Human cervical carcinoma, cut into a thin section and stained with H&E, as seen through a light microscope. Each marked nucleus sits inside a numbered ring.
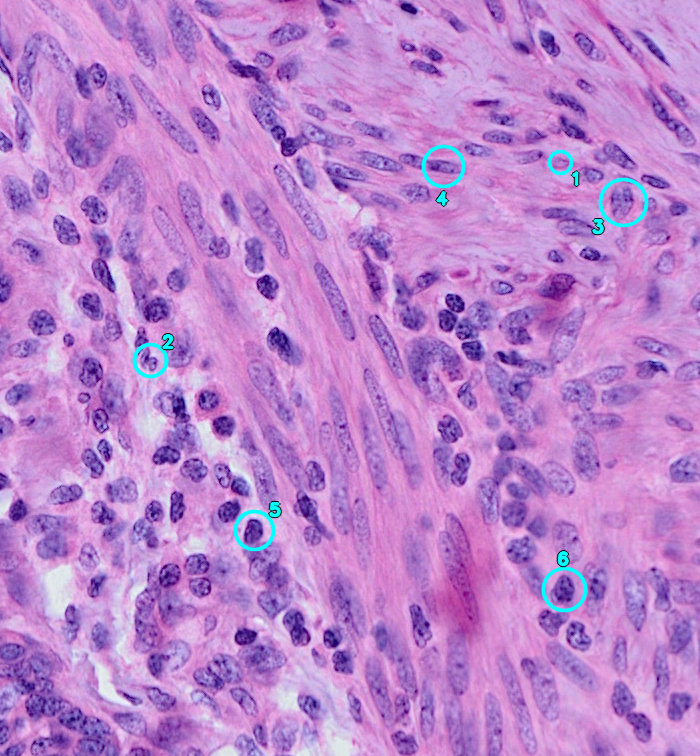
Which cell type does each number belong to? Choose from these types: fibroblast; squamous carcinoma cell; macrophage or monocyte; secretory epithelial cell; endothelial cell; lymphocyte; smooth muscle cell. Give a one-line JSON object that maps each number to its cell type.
{"1": "smooth muscle cell", "2": "lymphocyte", "3": "smooth muscle cell", "4": "smooth muscle cell", "5": "lymphocyte", "6": "lymphocyte"}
